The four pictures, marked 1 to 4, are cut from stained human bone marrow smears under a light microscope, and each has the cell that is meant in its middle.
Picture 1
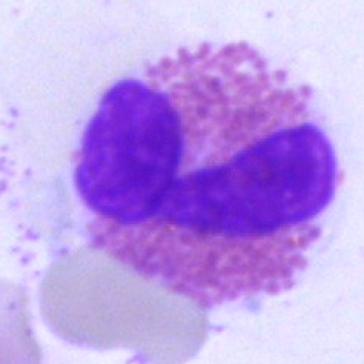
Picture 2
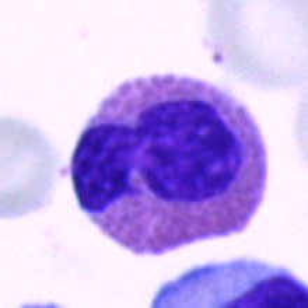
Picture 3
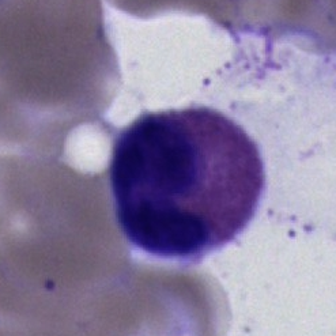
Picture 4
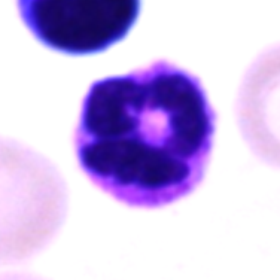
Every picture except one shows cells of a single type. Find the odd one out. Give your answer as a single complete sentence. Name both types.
Picture 4 differs, because its cell is a segmented neutrophil and the rest are eosinophils.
